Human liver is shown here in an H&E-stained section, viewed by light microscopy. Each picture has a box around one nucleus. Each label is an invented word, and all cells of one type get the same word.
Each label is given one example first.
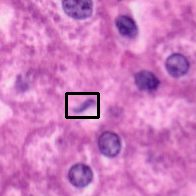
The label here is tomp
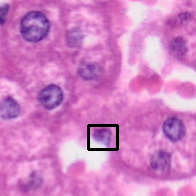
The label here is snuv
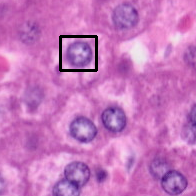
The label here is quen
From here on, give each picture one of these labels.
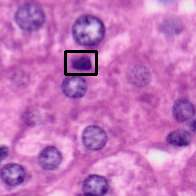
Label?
snuv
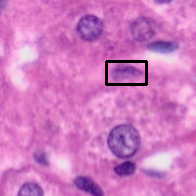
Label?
tomp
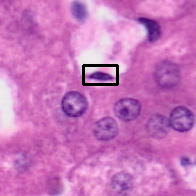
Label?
tomp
